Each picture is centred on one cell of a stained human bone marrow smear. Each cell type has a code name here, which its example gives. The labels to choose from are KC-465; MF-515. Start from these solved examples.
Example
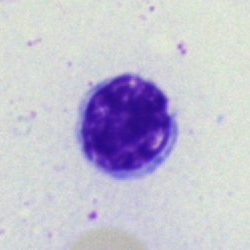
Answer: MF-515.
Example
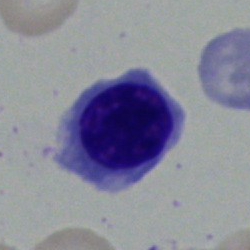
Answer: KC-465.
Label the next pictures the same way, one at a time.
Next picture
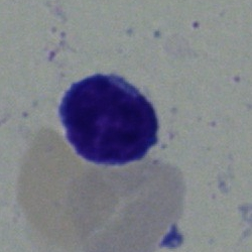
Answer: MF-515.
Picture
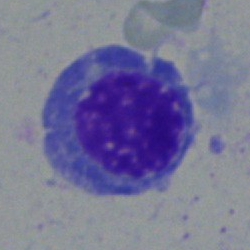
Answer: KC-465.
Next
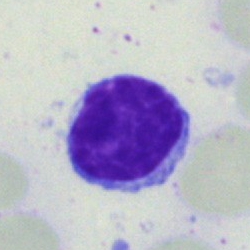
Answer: MF-515.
